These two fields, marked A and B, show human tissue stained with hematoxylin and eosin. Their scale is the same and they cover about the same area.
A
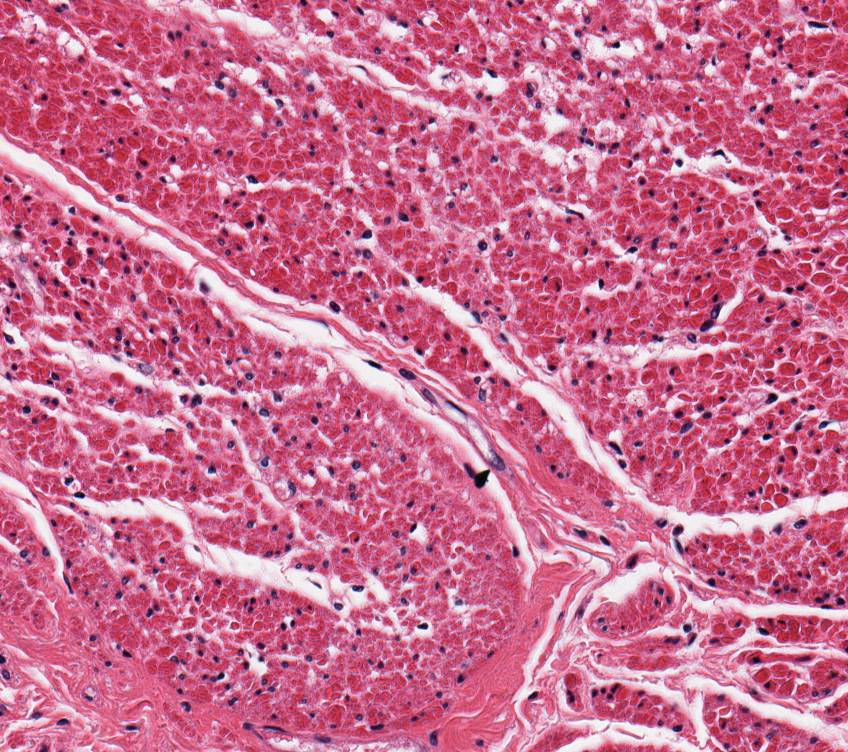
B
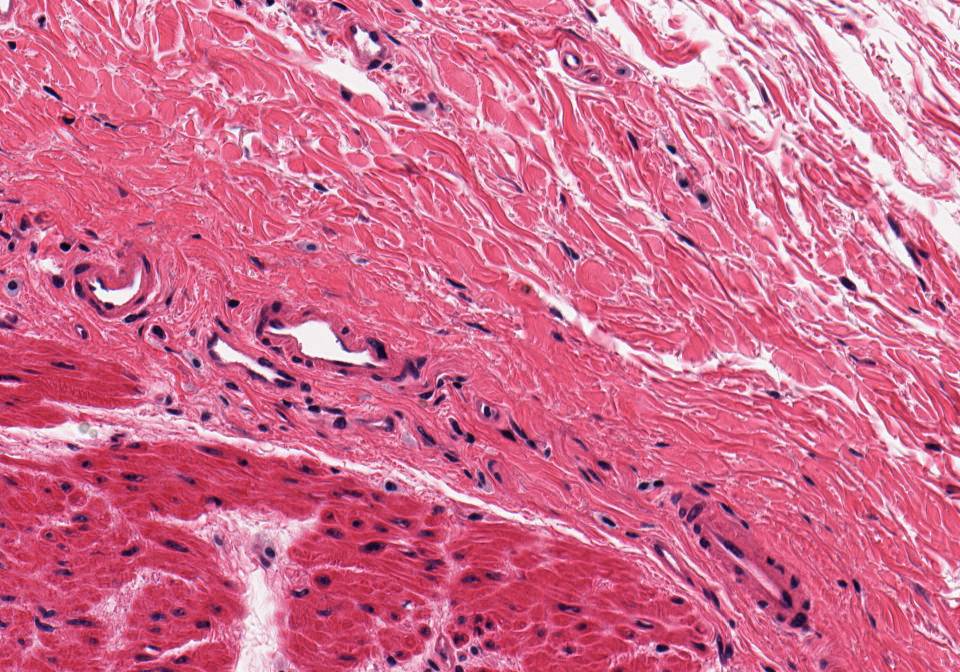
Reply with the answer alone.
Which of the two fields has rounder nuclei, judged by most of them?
A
